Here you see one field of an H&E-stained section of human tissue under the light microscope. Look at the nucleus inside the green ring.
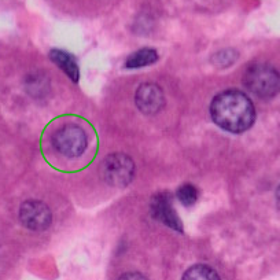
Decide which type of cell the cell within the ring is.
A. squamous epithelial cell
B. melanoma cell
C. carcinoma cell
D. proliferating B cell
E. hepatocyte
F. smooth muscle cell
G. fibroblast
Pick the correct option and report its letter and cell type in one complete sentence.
Option E names the cell within the ring correctly as a hepatocyte.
